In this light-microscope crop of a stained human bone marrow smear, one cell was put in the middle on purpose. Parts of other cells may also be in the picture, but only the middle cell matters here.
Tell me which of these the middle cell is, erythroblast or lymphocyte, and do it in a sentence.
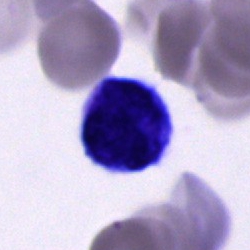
The centered cell in this crop is a lymphocyte.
